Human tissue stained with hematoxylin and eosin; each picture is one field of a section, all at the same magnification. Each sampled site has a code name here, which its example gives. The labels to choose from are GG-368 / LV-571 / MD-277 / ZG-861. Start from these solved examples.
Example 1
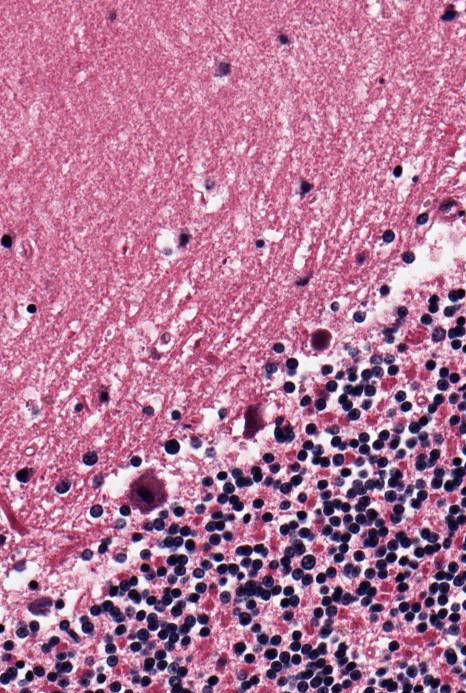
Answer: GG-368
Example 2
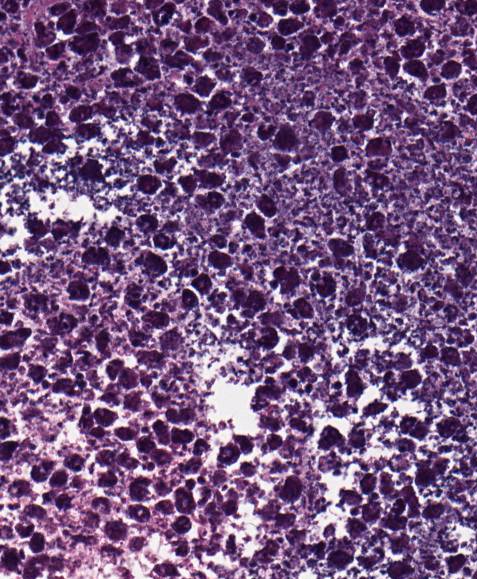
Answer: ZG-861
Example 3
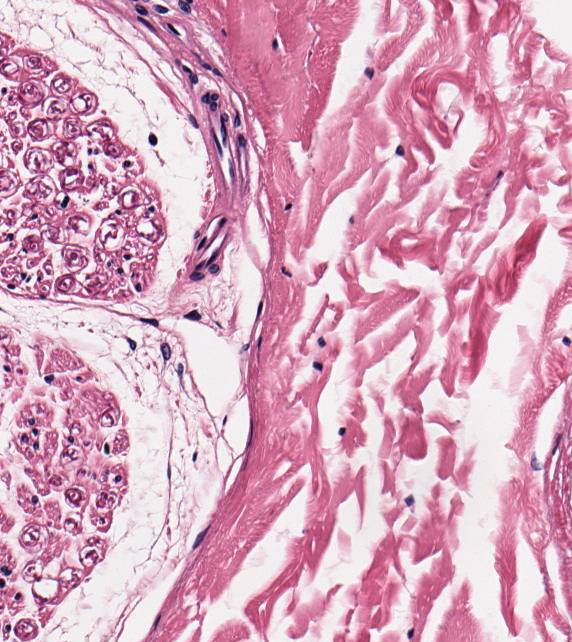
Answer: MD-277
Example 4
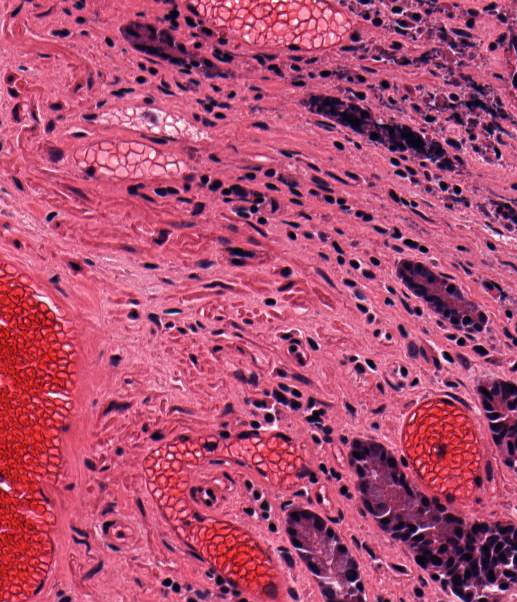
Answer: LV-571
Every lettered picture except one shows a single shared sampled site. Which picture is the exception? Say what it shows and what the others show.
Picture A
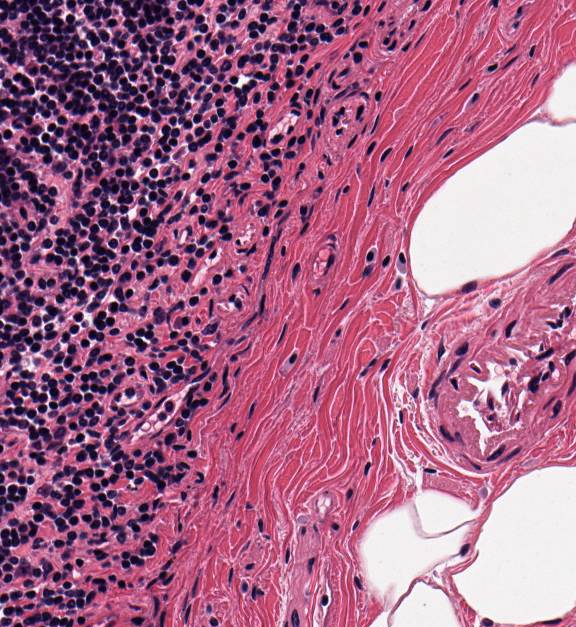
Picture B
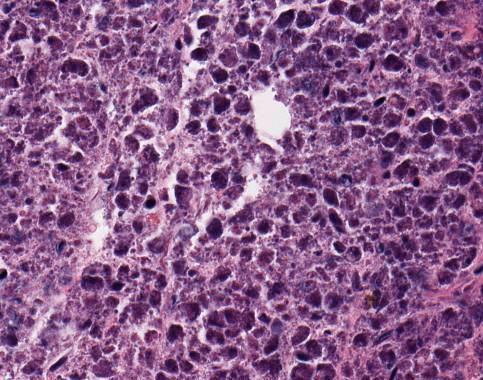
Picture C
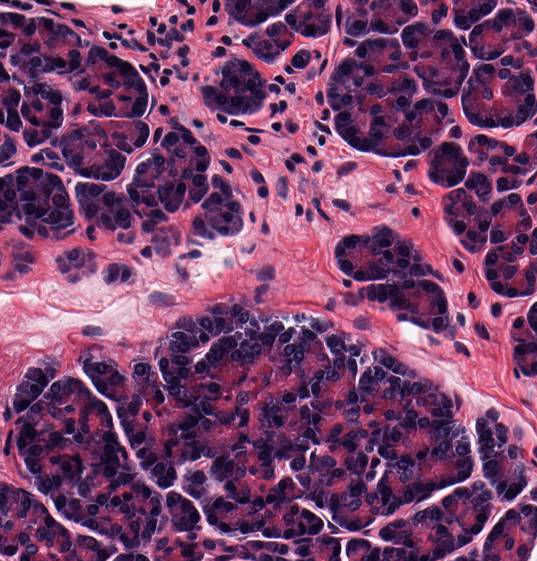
A (LV-571) is the exception; every other picture is ZG-861.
